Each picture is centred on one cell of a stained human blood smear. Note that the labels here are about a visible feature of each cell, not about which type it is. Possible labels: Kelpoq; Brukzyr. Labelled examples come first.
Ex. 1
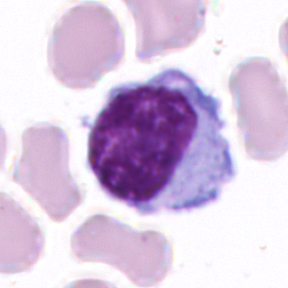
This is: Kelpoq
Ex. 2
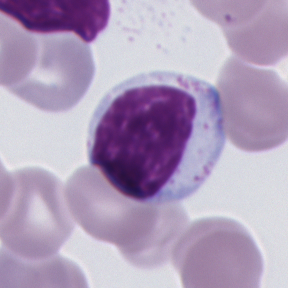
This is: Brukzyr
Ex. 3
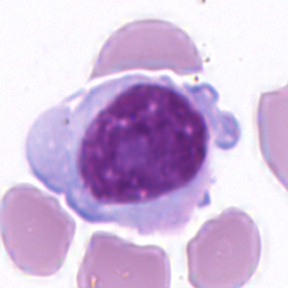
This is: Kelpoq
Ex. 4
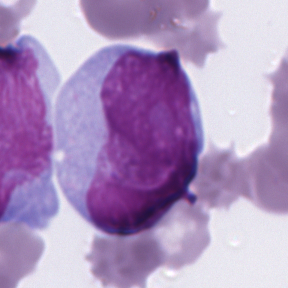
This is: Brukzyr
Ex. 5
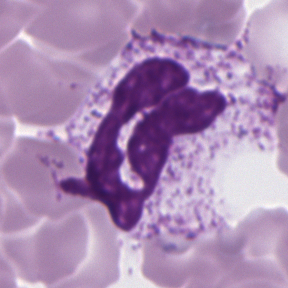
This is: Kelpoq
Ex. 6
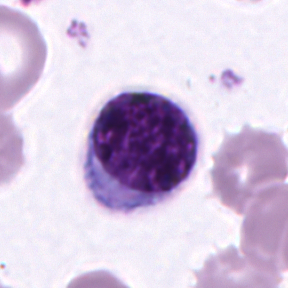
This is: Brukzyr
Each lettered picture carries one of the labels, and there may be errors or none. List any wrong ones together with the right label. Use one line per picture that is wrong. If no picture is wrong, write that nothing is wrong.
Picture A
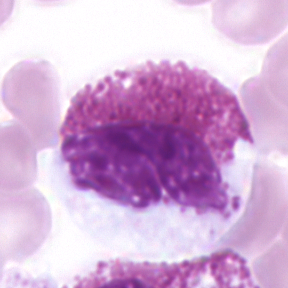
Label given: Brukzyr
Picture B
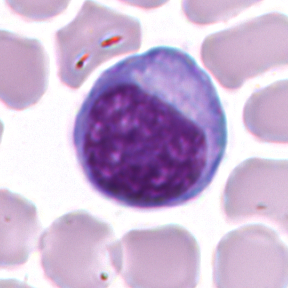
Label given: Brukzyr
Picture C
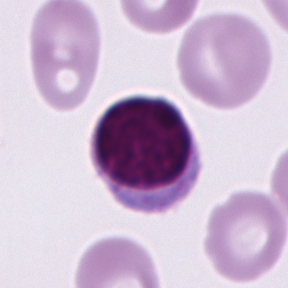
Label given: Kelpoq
C: not Kelpoq but Brukzyr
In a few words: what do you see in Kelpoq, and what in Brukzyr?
Kelpoq: ragged outline or projections; Brukzyr: smooth outline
